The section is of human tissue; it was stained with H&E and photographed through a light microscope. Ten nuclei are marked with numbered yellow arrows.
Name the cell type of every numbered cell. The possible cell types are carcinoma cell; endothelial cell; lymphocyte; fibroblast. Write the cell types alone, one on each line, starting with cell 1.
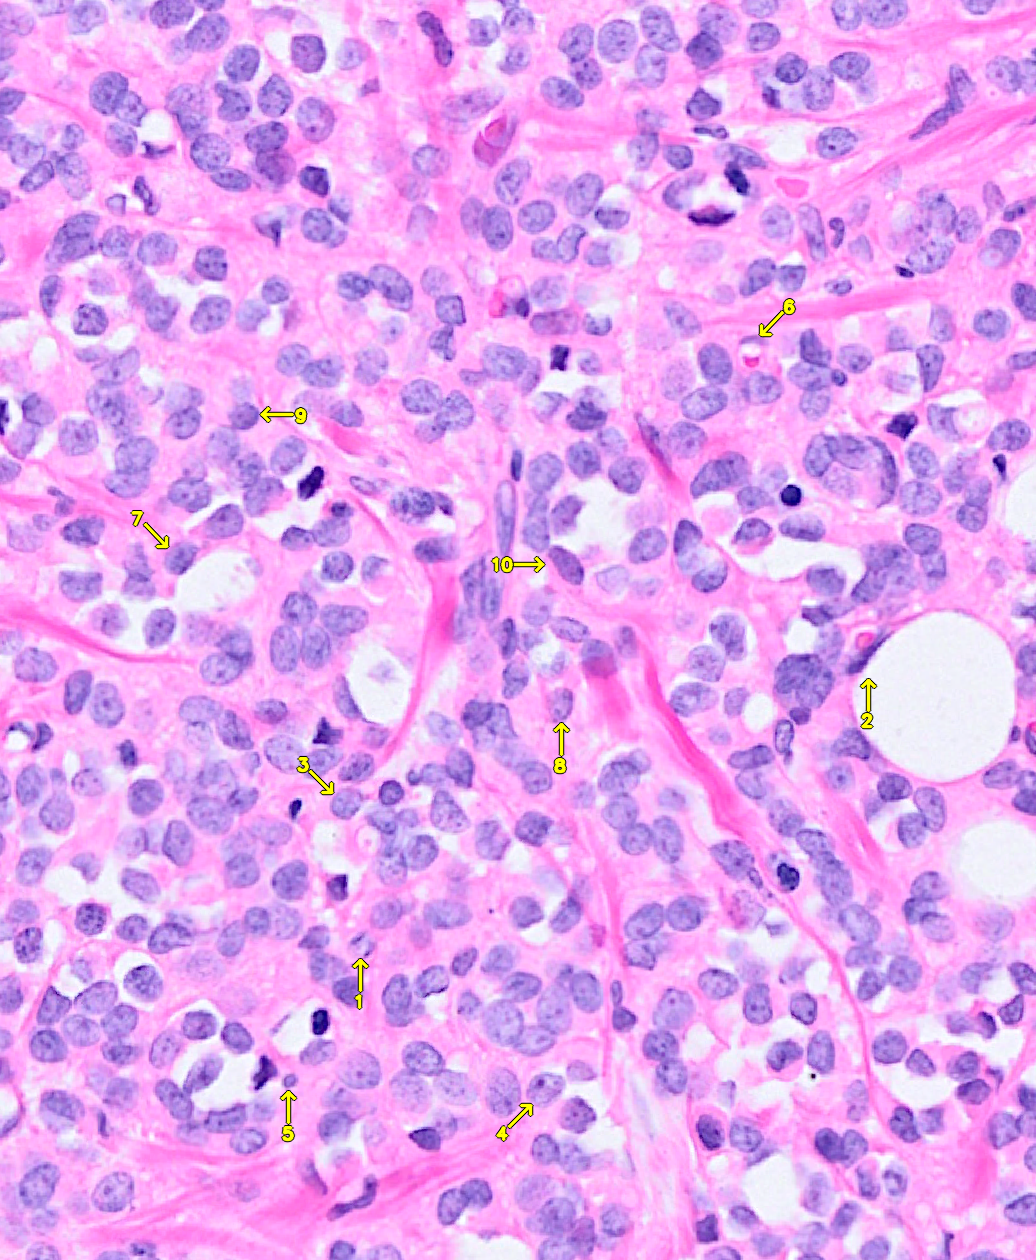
endothelial cell
endothelial cell
carcinoma cell
carcinoma cell
lymphocyte
endothelial cell
carcinoma cell
carcinoma cell
carcinoma cell
carcinoma cell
